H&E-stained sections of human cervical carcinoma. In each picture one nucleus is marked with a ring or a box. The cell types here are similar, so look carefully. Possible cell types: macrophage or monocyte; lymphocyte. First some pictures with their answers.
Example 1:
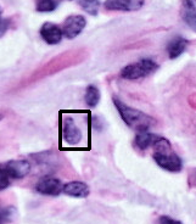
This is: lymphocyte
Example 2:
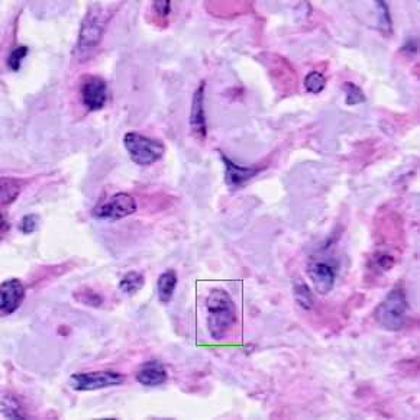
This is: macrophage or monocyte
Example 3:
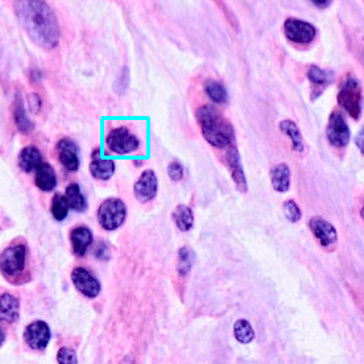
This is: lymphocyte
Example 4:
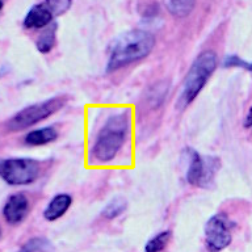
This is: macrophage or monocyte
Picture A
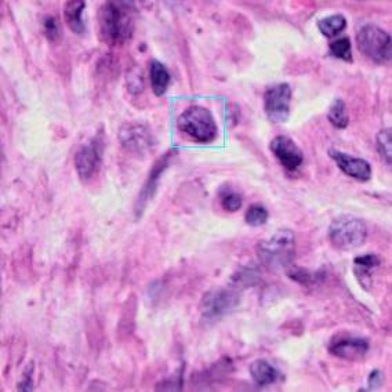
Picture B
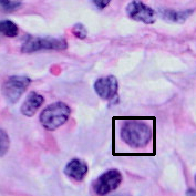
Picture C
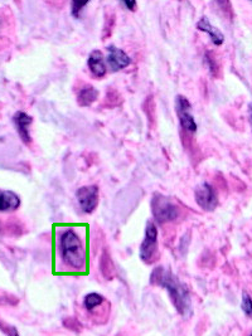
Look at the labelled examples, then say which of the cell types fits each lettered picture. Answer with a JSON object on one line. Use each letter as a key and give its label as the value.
{"A": "macrophage or monocyte", "B": "macrophage or monocyte", "C": "macrophage or monocyte"}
